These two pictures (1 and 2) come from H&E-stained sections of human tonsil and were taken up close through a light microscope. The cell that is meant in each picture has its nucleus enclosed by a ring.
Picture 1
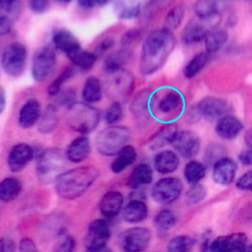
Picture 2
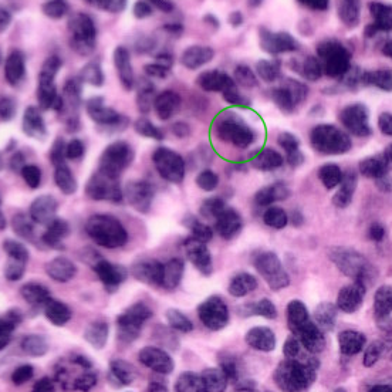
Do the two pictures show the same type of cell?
no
